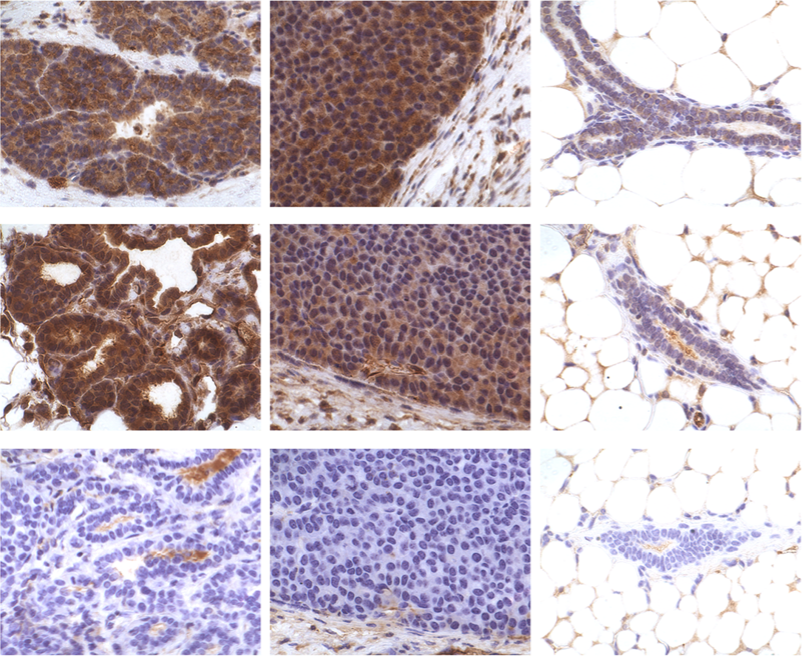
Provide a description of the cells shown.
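Mammary tissue in a grid: the first two columns show solid and gland-forming sheets of crowded tumor cells with oval blue nuclei, and the third column shows a normal mammary duct lined by a thin epithelial layer amid large empty fat cells. In the upper two rows the tumor cells have diffuse brown cytoplasmic staining, while the duct epithelium and the surrounding stroma are paler.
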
